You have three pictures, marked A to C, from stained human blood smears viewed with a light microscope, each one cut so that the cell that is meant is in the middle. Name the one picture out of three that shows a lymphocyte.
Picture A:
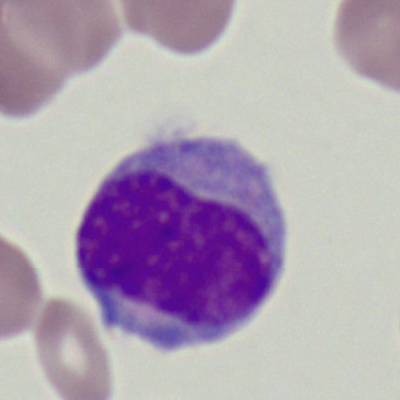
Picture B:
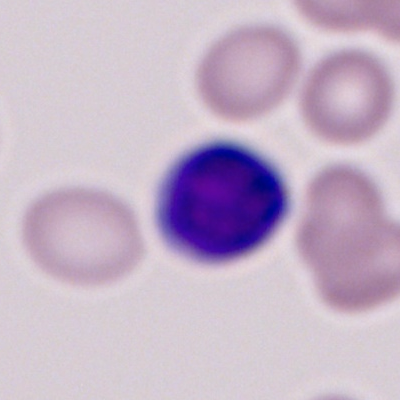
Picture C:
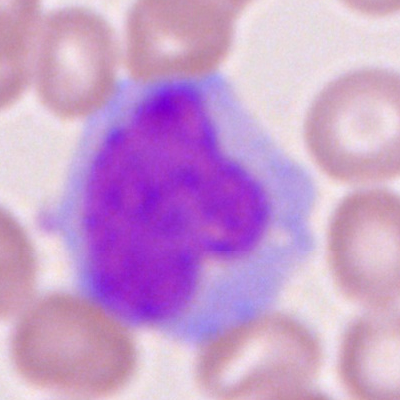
B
